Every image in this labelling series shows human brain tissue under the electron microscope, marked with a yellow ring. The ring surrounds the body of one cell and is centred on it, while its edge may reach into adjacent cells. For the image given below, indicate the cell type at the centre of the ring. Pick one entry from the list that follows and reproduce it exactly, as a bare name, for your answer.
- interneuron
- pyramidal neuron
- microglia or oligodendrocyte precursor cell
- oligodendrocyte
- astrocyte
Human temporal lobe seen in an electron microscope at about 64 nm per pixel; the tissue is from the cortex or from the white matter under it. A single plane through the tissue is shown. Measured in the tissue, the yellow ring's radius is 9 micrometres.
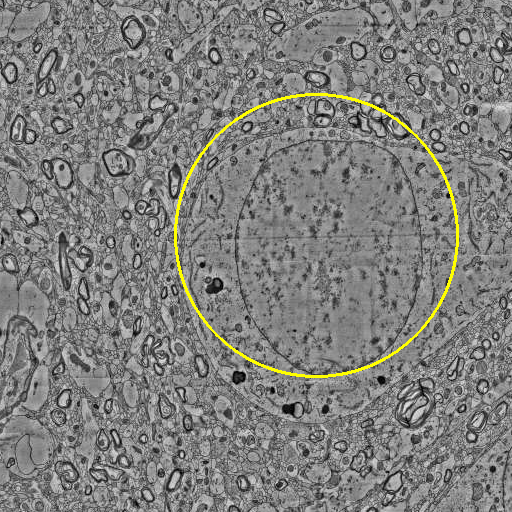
pyramidal neuron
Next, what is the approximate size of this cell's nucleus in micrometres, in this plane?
The nucleus appears roughly 15 by 12 micrometres in this plane.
